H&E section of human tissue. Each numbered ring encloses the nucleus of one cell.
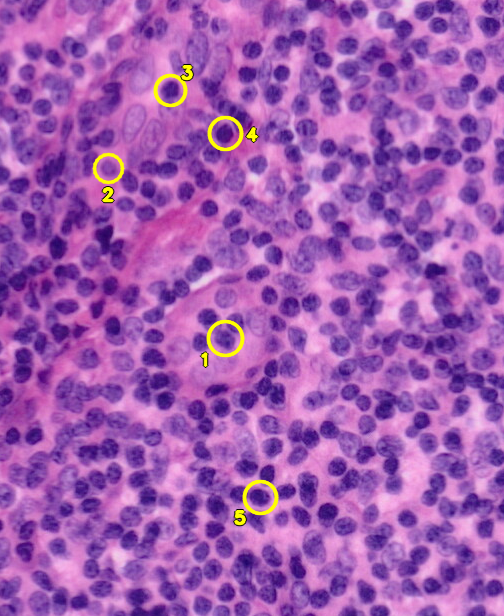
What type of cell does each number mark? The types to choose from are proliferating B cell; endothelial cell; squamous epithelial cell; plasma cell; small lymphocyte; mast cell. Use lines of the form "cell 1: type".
cell 1: endothelial cell
cell 2: endothelial cell
cell 3: endothelial cell
cell 4: small lymphocyte
cell 5: small lymphocyte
